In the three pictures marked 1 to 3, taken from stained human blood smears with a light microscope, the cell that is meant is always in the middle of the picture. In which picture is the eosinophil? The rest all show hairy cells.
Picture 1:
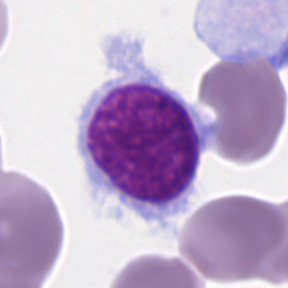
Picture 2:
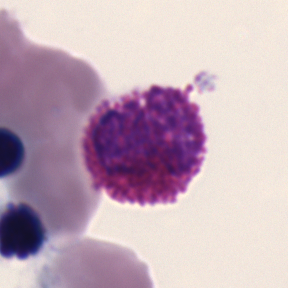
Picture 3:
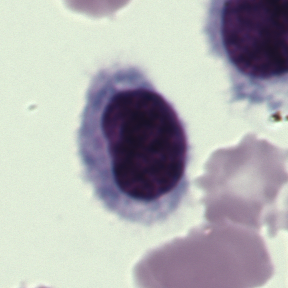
2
